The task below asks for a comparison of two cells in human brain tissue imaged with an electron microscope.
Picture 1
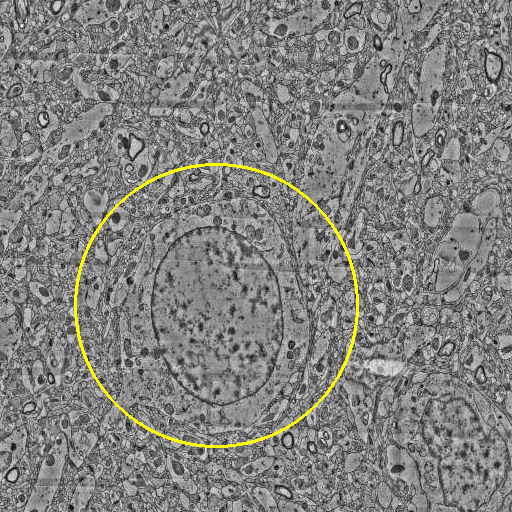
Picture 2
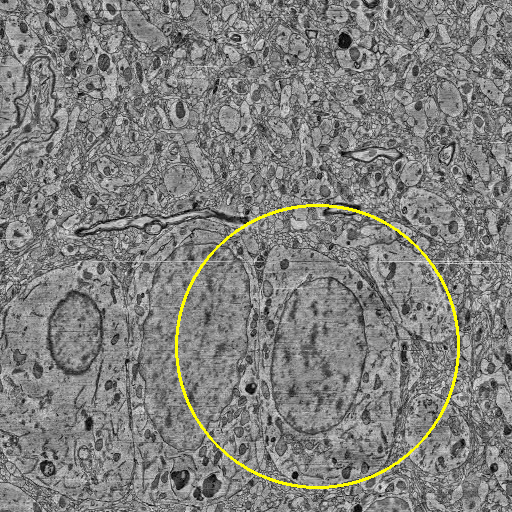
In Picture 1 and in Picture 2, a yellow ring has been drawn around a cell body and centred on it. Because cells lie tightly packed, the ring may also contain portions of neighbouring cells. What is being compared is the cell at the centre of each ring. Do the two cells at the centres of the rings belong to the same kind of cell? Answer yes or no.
yes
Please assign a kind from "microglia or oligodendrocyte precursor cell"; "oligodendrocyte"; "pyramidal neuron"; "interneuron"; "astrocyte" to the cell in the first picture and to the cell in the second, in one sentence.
Each of the ringed cells, first and second, is a pyramidal neuron.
